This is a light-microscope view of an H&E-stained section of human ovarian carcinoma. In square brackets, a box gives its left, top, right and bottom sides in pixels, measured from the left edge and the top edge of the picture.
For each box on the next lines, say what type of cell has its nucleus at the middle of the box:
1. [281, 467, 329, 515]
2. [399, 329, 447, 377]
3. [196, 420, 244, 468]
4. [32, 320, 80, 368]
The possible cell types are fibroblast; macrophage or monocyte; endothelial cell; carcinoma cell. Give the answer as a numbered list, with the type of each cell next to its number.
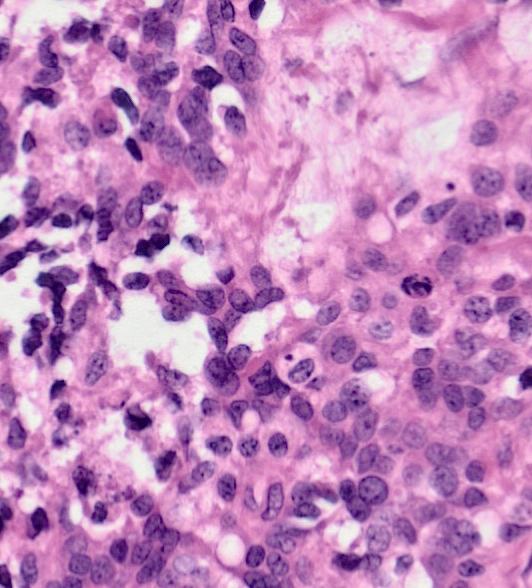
1. carcinoma cell
2. carcinoma cell
3. macrophage or monocyte
4. carcinoma cell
